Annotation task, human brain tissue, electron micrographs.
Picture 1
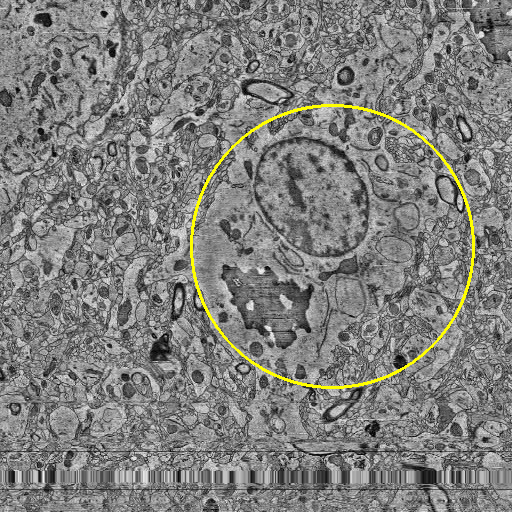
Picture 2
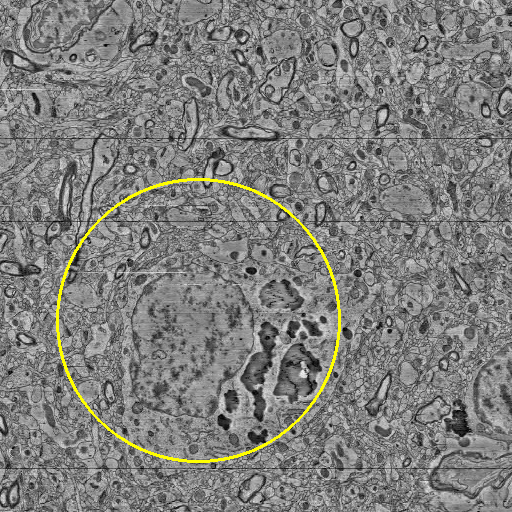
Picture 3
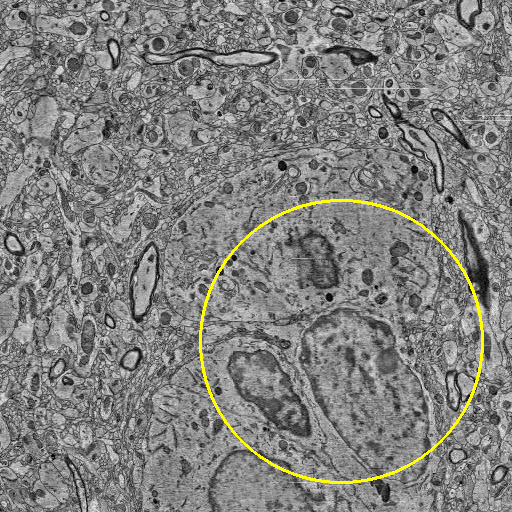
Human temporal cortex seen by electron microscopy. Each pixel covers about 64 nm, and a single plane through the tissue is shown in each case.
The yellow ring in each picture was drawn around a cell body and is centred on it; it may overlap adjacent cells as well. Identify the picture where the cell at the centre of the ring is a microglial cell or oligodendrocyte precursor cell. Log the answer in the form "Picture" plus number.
Picture 3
